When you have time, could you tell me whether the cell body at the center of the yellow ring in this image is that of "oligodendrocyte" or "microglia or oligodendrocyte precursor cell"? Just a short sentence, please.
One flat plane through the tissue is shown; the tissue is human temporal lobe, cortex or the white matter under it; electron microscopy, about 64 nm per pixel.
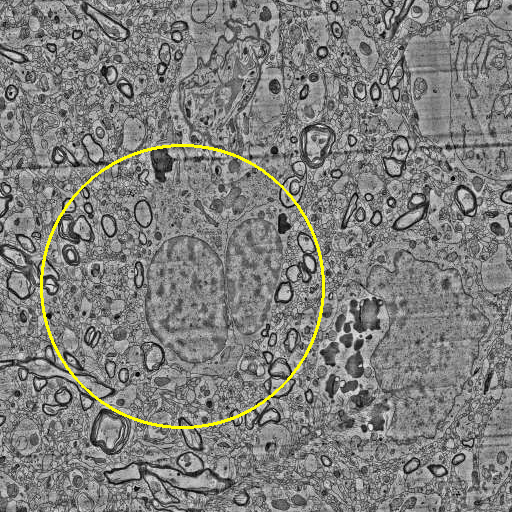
The cell body at the center of the ring is that of an oligodendrocyte.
